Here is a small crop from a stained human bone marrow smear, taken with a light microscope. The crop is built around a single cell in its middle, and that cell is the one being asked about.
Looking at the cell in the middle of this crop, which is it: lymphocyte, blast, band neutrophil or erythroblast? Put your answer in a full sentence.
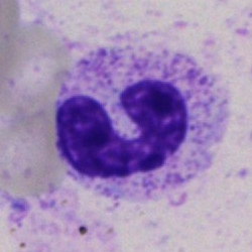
The central cell in this smear crop is a band neutrophil.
